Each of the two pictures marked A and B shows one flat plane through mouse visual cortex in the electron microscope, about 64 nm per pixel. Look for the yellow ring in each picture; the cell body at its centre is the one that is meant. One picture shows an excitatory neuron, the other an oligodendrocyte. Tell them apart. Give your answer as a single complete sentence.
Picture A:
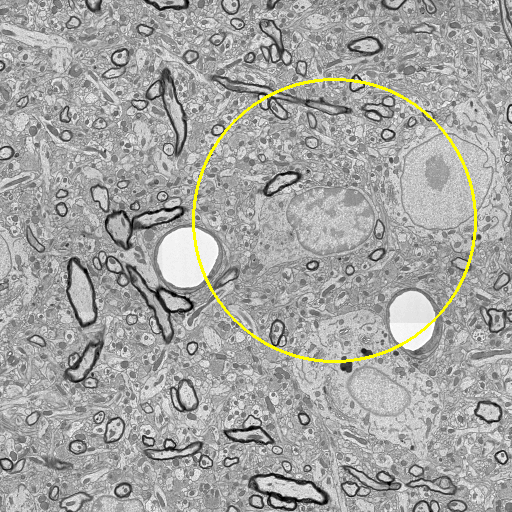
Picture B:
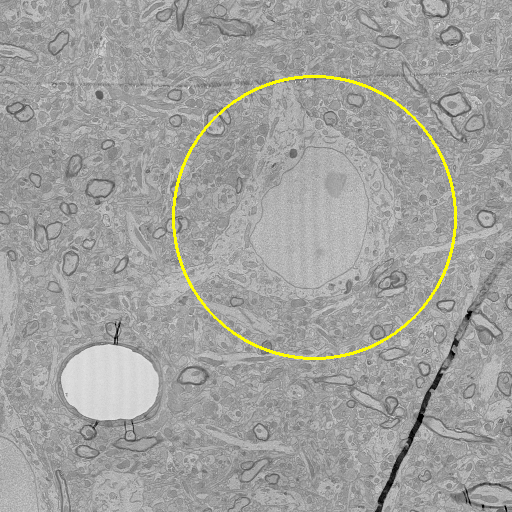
In picture A the cell is an oligodendrocyte; in picture B, an excitatory neuron.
